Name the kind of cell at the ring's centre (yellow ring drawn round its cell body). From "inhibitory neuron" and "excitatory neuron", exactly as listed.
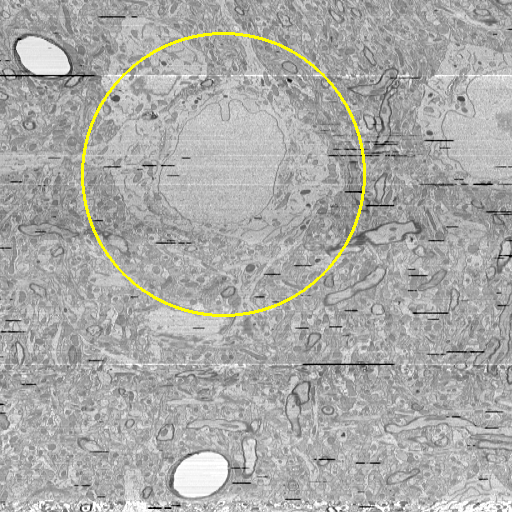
excitatory neuron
